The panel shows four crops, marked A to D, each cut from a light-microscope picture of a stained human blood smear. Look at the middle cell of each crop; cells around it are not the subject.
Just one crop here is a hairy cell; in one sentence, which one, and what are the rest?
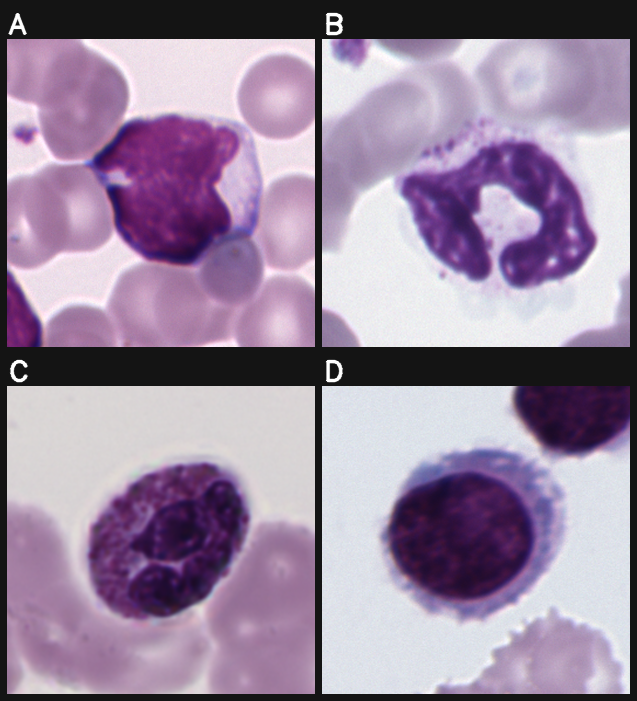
Crop D is read as a hairy cell, while crop A is a large granular lymphocyte, crop B is a segmented neutrophil and crop C is an eosinophil.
